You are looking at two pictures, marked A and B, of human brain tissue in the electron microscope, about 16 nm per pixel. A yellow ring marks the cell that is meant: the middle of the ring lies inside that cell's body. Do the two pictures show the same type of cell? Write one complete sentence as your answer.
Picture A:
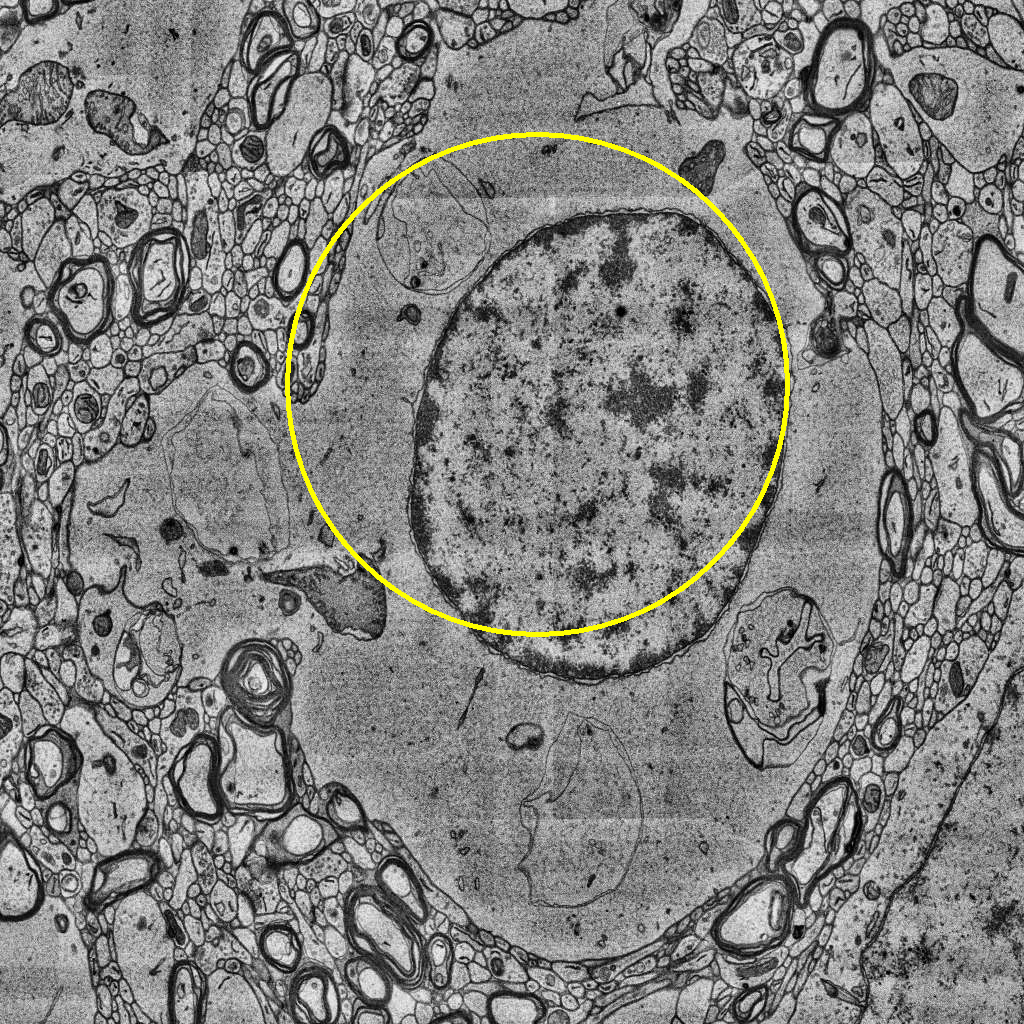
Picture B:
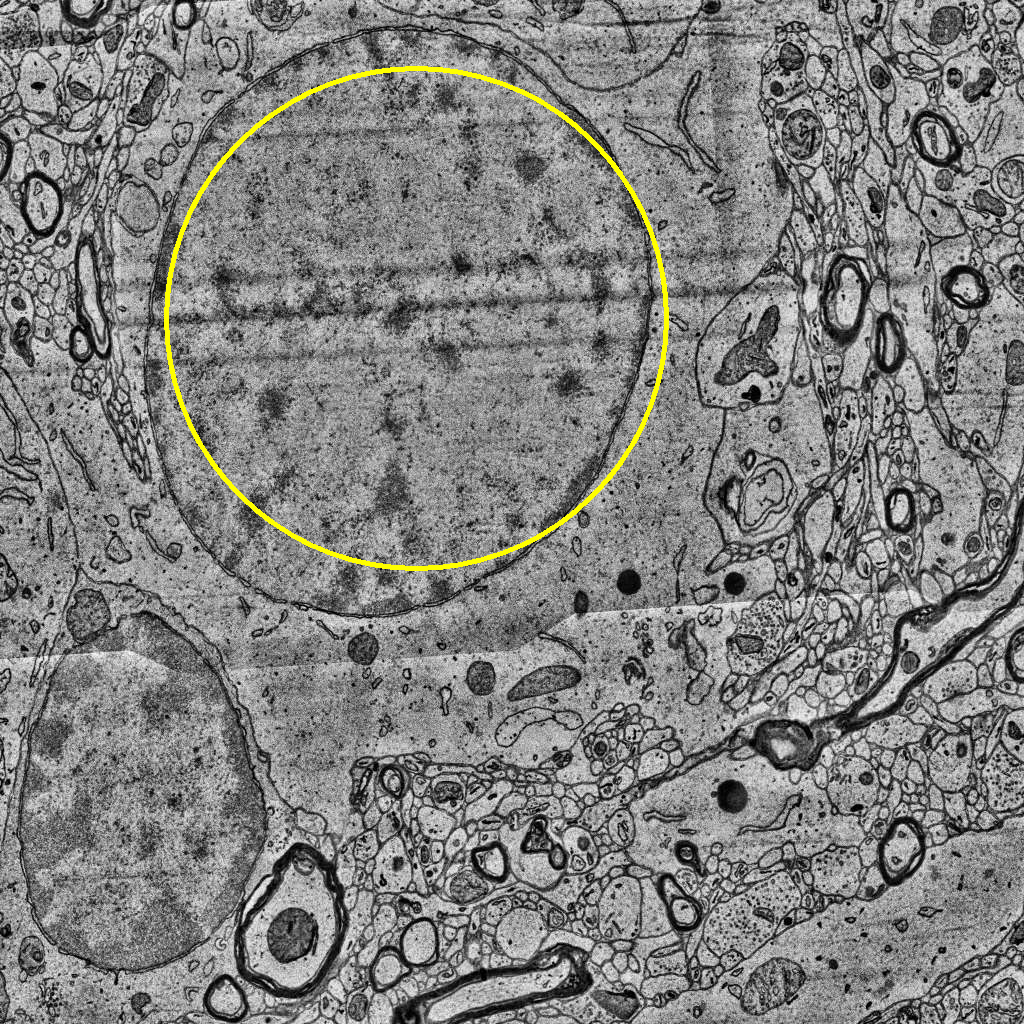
Yes; the cells in both pictures are astrocytes.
